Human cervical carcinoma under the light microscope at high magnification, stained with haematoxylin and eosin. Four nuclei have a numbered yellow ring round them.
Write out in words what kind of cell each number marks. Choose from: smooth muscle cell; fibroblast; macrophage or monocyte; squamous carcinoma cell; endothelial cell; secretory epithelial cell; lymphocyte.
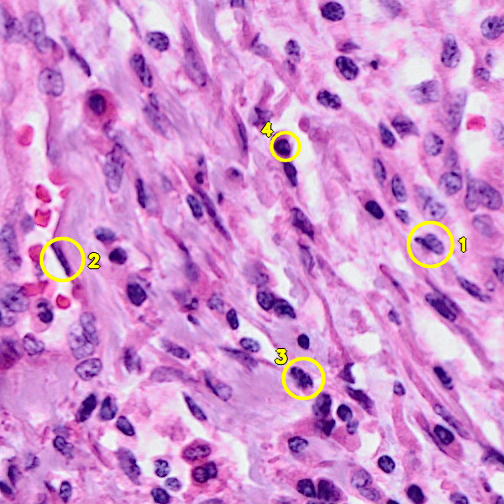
Cell 1 is a lymphocyte, cell 2 is an endothelial cell, cell 3 is a lymphocyte and cell 4 is a lymphocyte.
